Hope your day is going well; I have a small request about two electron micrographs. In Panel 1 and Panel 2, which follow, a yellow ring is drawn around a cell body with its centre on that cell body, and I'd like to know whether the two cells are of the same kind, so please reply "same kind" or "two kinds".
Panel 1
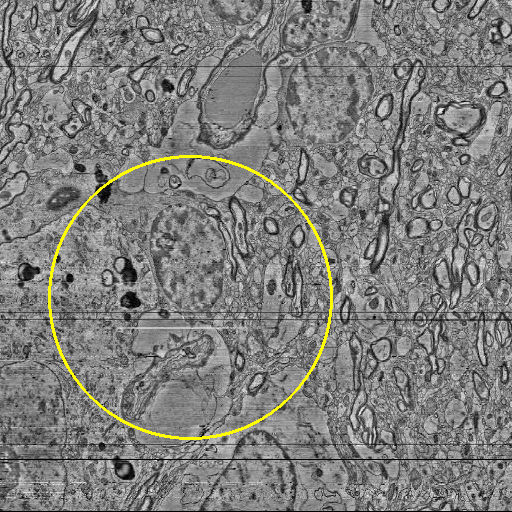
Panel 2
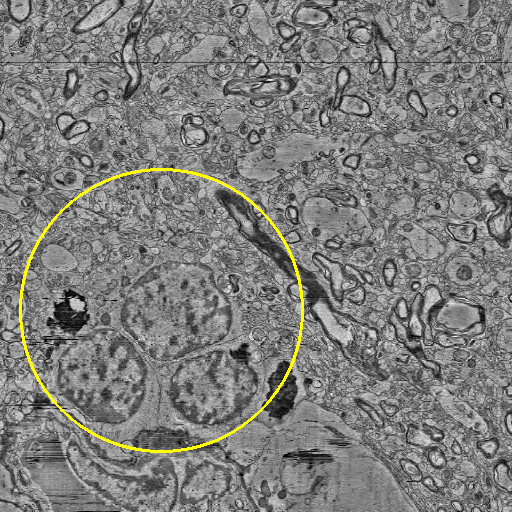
same kind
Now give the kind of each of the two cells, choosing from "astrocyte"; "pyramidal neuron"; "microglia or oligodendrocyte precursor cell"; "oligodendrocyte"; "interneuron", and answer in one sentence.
Each cell, in the first picture and the second, is an oligodendrocyte.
